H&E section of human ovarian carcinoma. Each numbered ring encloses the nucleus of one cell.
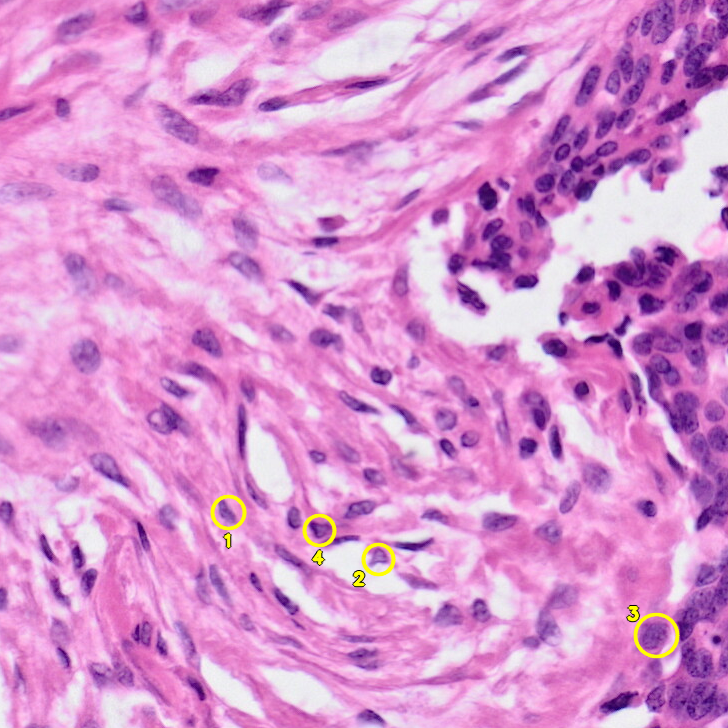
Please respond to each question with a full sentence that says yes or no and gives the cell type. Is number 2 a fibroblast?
Yes, the cell at marker 2 is a fibroblast.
